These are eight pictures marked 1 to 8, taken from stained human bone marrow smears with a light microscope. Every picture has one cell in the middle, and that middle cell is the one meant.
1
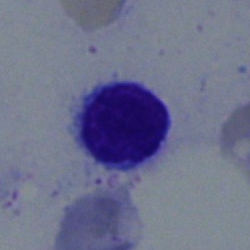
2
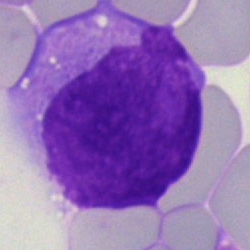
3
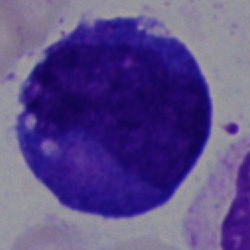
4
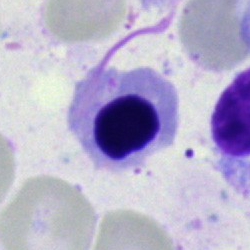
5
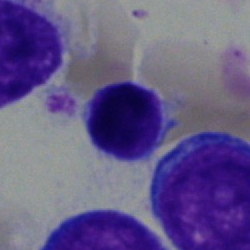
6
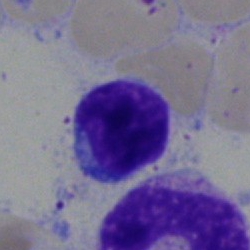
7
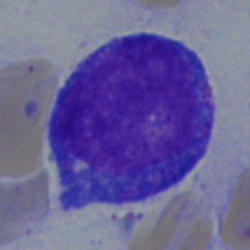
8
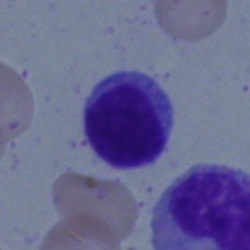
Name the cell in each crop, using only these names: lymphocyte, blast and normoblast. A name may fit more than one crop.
1: lymphocyte
2: blast
3: blast
4: normoblast
5: lymphocyte
6: lymphocyte
7: blast
8: lymphocyte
